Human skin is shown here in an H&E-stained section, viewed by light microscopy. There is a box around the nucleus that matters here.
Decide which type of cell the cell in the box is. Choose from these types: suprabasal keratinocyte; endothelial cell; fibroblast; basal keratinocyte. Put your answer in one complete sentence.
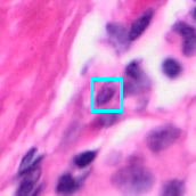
It is an endothelial cell that the cell in the box represents.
